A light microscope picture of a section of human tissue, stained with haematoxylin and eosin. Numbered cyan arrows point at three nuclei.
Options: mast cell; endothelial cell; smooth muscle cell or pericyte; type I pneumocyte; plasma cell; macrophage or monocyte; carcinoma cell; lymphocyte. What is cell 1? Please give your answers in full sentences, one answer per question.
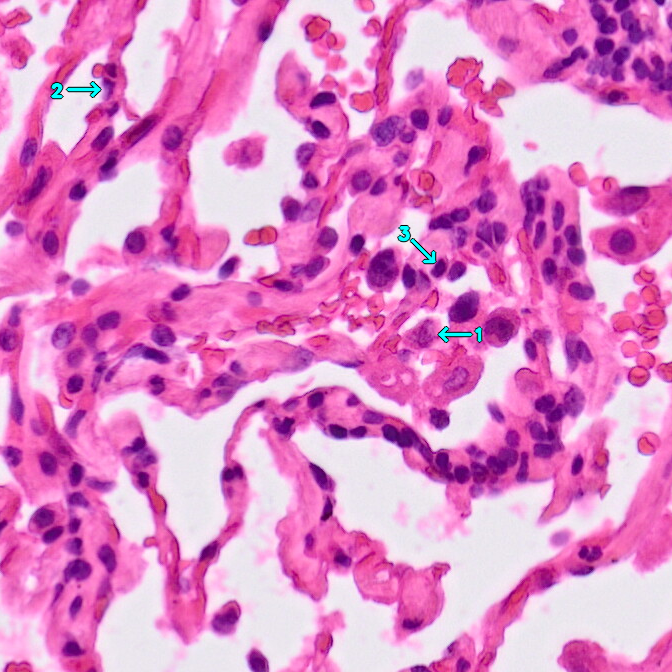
The cell referred to as 1 is a macrophage or monocyte.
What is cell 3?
To a lymphocyte belongs the nucleus marked 3.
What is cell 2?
Nucleus 2 in this section belongs to a type I pneumocyte.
